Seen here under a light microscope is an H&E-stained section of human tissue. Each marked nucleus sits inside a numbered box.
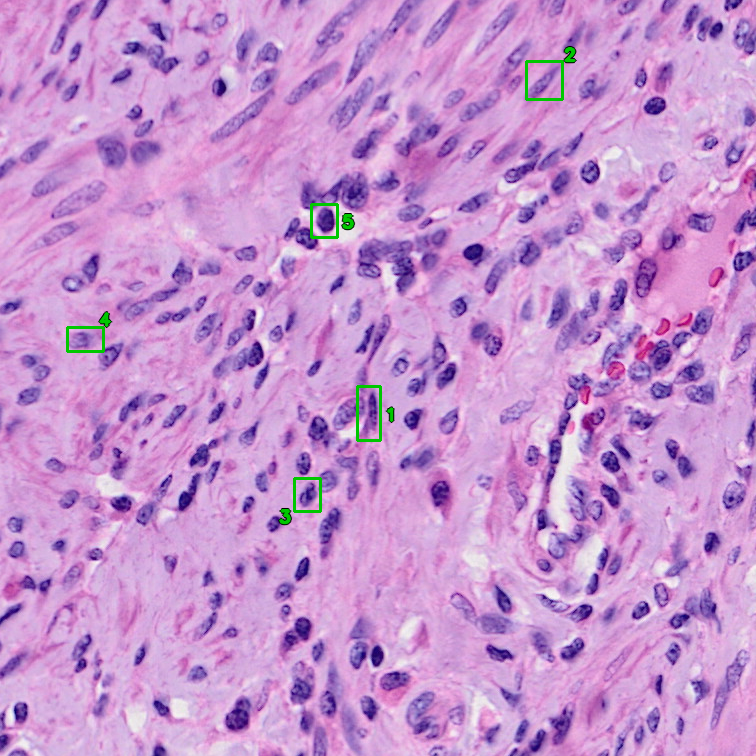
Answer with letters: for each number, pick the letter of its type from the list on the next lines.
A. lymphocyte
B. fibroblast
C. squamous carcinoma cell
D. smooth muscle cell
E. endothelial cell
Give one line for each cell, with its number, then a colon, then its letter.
1: E
2: D
3: A
4: D
5: A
